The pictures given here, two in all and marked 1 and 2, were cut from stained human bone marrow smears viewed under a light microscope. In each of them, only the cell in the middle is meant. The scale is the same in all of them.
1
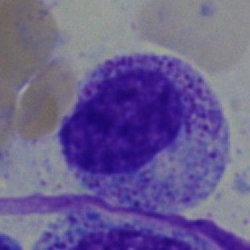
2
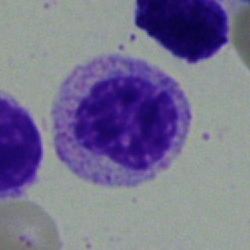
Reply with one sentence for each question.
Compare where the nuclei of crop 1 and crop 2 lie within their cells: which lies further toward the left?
In crop 1 the nucleus is shifted more toward the left.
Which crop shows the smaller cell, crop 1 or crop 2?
Smaller is the cell in crop 2, and the other is about 1.5 times as large in area.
